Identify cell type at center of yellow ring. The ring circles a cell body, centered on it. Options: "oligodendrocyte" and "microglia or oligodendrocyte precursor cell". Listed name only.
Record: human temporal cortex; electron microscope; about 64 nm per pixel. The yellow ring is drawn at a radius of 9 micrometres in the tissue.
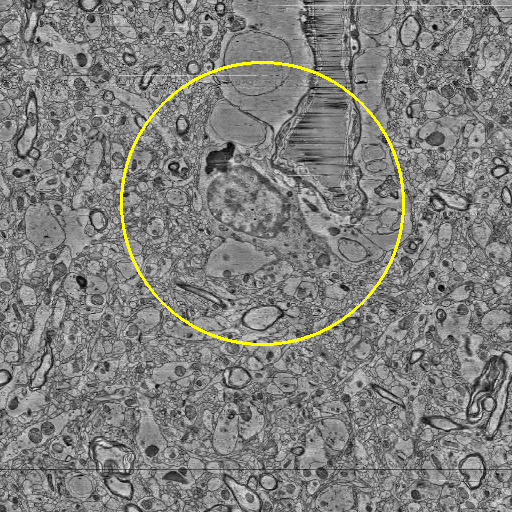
oligodendrocyte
